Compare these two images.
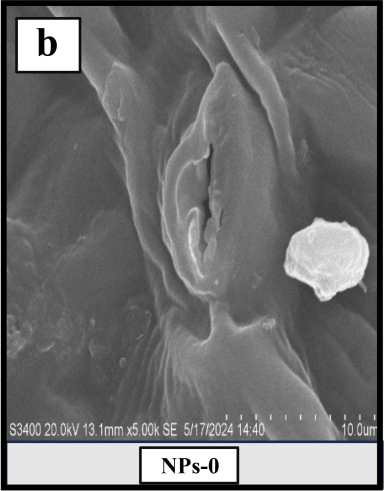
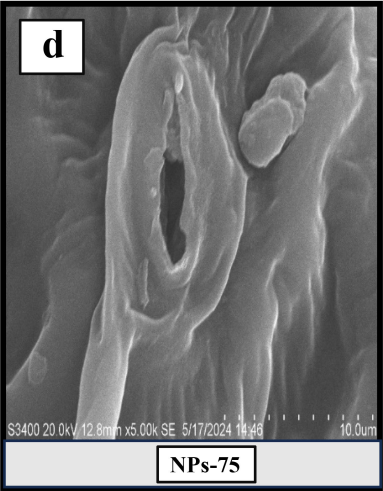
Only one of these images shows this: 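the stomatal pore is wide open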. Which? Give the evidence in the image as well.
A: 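First image: only a narrow, irregular slit lies between the guard cells. On this evidence: the second image.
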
